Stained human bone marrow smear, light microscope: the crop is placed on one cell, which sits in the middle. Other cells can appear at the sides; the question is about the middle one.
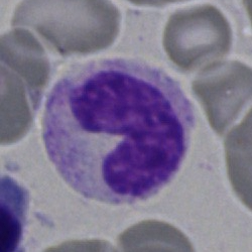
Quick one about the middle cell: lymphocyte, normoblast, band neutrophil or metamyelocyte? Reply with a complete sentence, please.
This crop has a band neutrophil at its centre.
